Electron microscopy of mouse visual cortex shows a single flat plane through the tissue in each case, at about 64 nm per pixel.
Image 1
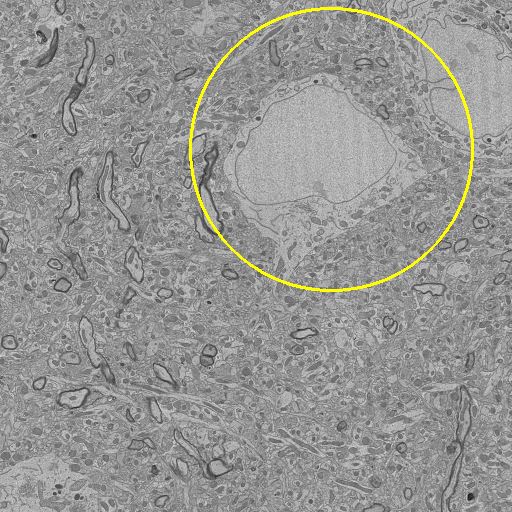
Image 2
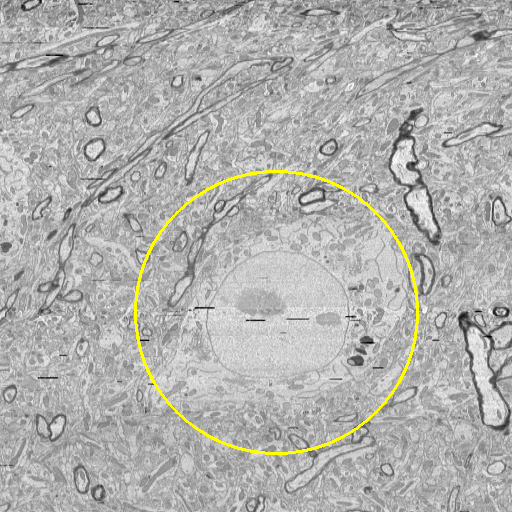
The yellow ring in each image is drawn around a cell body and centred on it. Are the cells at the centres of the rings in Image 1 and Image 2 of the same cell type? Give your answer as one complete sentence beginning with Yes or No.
Yes, both cells are of the same type.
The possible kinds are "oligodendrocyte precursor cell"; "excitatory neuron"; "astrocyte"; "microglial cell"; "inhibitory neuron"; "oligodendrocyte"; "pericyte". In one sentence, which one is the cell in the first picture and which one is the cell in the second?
The second cell is an excitatory neuron, just as the first is.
